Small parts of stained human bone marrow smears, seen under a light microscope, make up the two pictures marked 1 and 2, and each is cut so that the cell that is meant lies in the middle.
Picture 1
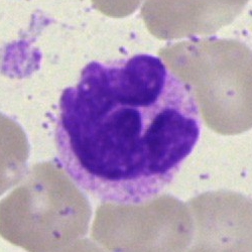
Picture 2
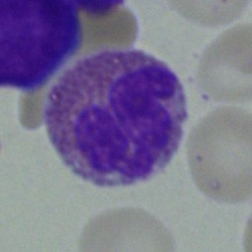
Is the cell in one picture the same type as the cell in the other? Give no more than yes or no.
no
